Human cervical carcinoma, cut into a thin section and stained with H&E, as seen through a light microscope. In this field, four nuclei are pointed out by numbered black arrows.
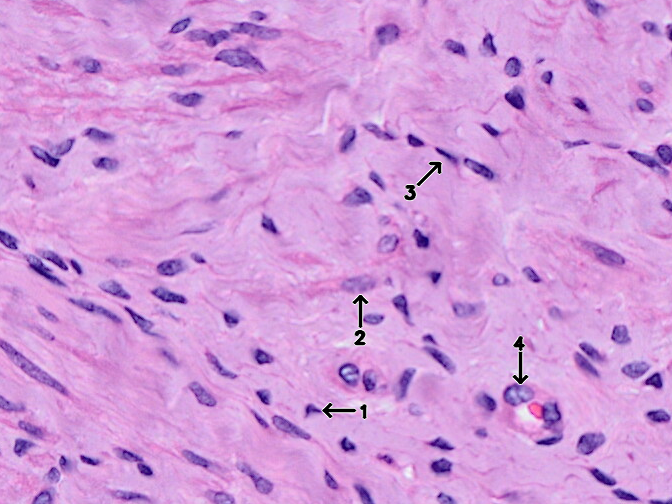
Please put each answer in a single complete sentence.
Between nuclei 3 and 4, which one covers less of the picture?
Nucleus 3 covers less area, with nucleus 4 about 4 times as large.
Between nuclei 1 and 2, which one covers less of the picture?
It is nucleus 1; nucleus 2 has about 4 times its area.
